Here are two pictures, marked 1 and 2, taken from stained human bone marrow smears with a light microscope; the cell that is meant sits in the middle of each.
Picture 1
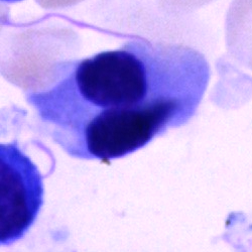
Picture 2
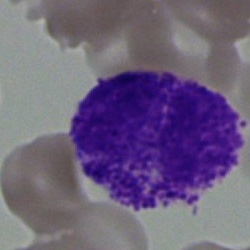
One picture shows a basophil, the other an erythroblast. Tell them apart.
1: erythroblast
2: basophil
